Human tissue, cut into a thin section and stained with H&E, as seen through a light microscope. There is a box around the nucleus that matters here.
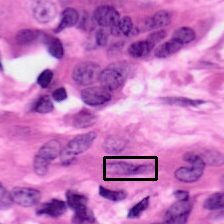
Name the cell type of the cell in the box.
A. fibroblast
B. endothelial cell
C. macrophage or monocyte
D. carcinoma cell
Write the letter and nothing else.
B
